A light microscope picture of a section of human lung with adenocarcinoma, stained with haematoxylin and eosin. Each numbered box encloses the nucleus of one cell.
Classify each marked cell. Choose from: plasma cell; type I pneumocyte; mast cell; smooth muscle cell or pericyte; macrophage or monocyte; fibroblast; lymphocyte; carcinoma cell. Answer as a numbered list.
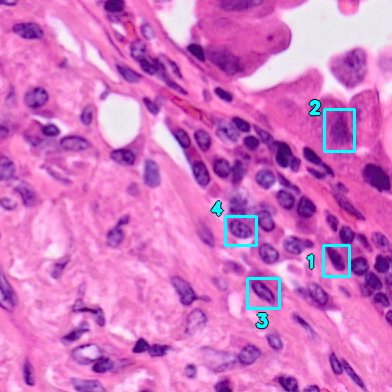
1. plasma cell
2. carcinoma cell
3. plasma cell
4. plasma cell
